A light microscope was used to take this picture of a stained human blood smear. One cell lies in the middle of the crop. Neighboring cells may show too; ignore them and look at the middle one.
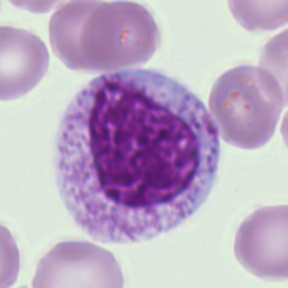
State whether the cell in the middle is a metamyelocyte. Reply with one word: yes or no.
yes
